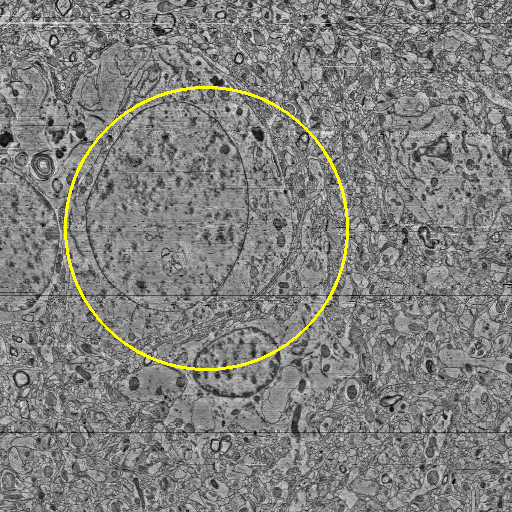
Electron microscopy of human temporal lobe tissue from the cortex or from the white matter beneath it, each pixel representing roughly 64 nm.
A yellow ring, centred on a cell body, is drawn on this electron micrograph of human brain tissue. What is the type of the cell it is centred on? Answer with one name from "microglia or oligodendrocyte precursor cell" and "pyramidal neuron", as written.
pyramidal neuron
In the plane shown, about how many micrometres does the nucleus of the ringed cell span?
The nucleus works out at approximately 14 by 10 micrometres in this plane.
